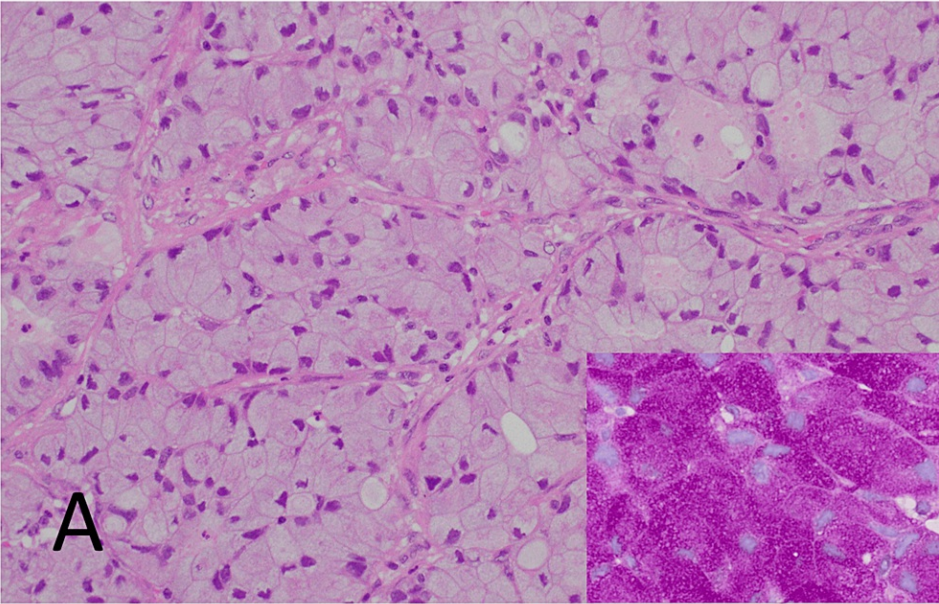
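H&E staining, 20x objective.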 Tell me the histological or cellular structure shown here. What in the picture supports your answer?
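Sheets of pale cells grouped into nests separated by thin fibrovascular septa. That points to this answer: solid cell nests.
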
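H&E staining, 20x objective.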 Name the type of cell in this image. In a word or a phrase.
Signet-ring cells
